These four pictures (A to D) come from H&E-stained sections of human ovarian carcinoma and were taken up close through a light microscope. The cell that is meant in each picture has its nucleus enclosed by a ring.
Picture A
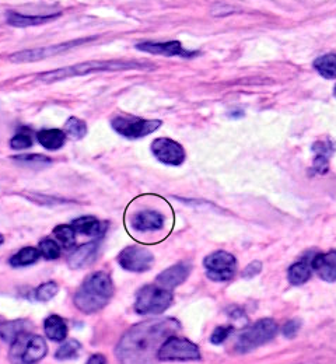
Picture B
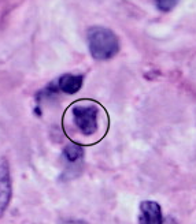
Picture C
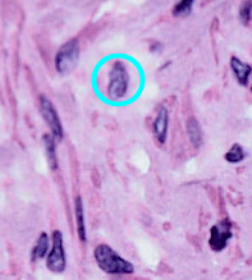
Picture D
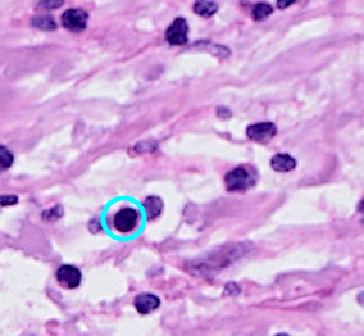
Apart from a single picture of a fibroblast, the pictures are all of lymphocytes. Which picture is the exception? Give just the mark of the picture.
C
